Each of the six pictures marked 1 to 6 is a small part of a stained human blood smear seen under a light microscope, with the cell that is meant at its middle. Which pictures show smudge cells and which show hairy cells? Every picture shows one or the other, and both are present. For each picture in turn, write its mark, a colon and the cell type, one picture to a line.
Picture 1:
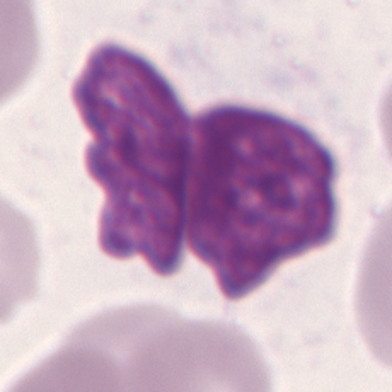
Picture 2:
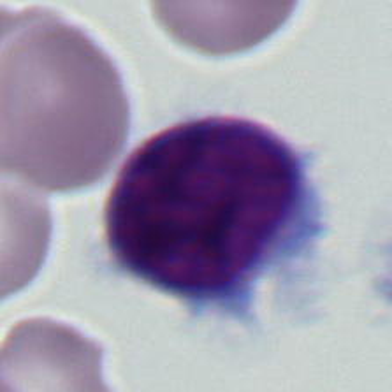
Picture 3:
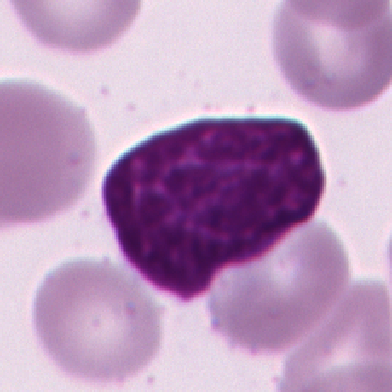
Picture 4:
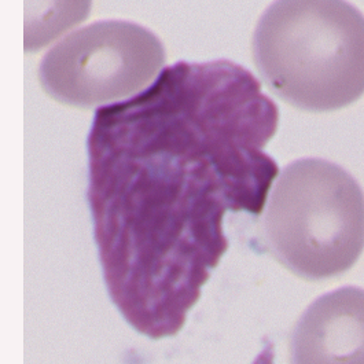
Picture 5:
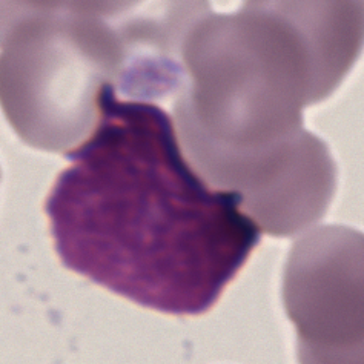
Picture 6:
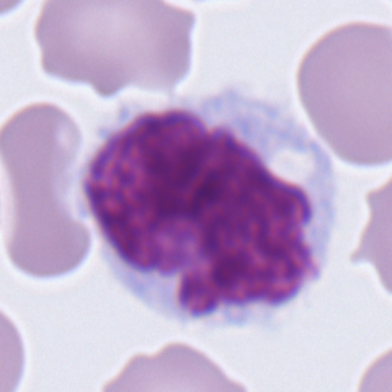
1: smudge cell
2: hairy cell
3: smudge cell
4: smudge cell
5: smudge cell
6: hairy cell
